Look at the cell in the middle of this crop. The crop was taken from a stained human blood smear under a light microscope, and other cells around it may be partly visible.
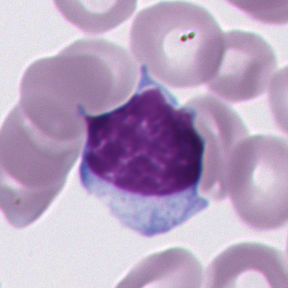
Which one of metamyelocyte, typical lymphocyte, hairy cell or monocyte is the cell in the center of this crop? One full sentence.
The cell in the middle of the field of view is a typical lymphocyte.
